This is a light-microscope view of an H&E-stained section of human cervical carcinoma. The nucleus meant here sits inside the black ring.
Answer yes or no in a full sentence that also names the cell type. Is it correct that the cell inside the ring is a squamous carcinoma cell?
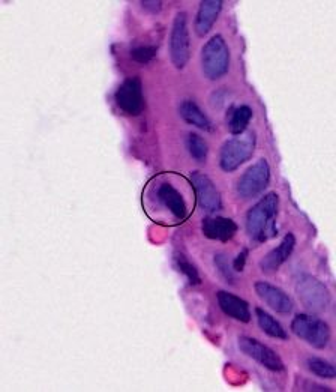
No, not quite: the cell inside the ring is a secretory epithelial cell rather than a squamous carcinoma cell.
